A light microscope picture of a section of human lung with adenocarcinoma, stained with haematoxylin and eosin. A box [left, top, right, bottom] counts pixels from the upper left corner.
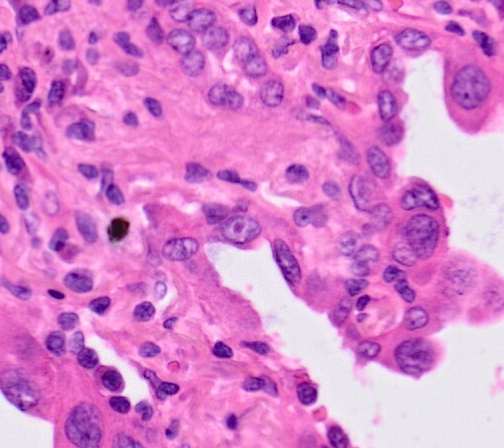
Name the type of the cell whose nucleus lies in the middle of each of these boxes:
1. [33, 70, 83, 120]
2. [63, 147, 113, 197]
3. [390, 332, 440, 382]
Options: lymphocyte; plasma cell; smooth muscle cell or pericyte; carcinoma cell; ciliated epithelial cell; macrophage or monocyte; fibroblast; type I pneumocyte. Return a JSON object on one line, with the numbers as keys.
{"1": "plasma cell", "2": "lymphocyte", "3": "carcinoma cell"}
